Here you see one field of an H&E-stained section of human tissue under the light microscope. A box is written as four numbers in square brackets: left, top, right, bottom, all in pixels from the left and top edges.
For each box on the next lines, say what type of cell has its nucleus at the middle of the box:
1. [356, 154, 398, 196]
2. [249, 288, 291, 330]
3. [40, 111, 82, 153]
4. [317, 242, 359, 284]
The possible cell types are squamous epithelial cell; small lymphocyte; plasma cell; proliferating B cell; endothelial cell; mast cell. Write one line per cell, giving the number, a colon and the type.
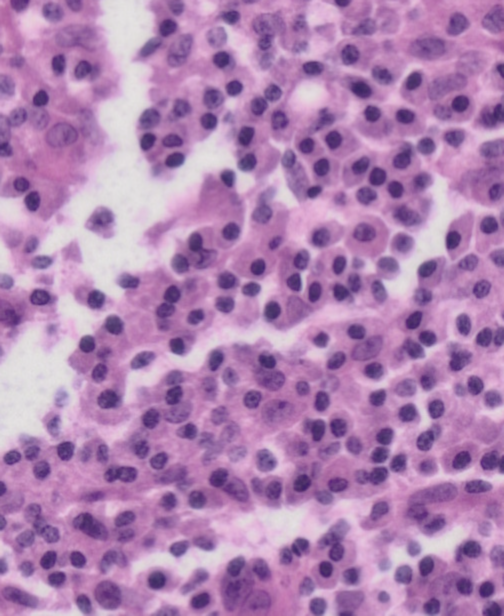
1: plasma cell
2: plasma cell
3: squamous epithelial cell
4: plasma cell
